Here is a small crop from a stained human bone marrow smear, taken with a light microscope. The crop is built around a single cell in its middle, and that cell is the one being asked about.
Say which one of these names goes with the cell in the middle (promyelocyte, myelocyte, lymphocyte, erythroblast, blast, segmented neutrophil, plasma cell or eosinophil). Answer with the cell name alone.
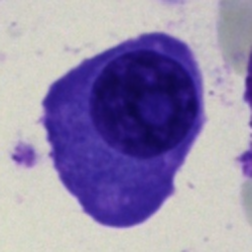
plasma cell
